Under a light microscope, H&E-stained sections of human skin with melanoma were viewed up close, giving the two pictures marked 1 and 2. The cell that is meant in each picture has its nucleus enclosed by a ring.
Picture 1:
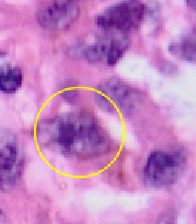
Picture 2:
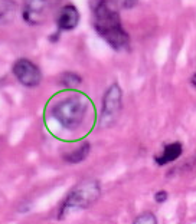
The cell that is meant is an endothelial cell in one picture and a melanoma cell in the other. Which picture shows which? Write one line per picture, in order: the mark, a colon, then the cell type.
1: melanoma cell
2: endothelial cell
